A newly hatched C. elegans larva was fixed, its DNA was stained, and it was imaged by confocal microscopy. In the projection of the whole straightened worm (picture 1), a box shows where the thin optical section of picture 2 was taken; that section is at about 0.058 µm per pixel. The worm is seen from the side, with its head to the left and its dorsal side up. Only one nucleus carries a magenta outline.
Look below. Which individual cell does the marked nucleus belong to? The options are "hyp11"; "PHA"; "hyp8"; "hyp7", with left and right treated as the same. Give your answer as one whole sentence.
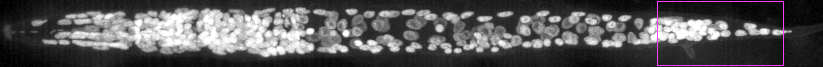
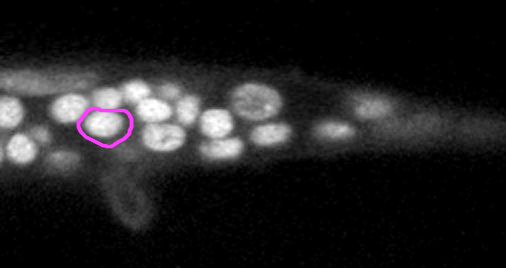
The marked nucleus belongs to PHA, a neuron.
